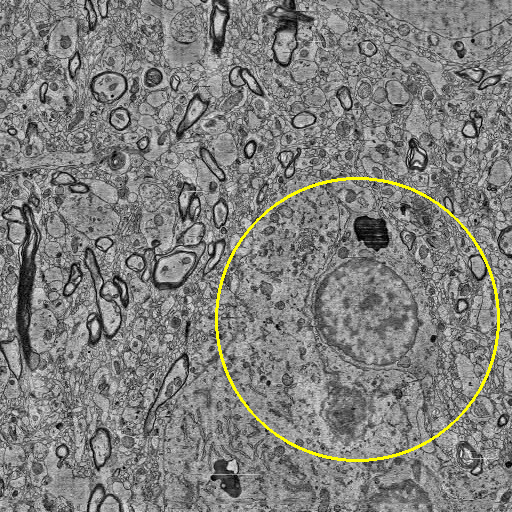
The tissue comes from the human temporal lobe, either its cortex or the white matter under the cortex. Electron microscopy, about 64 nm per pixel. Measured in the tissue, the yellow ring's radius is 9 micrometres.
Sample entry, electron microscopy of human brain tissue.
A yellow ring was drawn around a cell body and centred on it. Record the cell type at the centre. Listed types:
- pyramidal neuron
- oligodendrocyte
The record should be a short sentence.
The cell at the ring's centre is an oligodendrocyte.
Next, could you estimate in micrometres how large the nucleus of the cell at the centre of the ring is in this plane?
The nucleus works out at approximately 7 by 6 micrometres in this plane.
